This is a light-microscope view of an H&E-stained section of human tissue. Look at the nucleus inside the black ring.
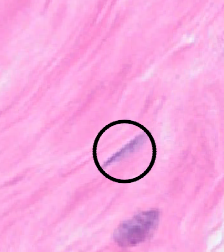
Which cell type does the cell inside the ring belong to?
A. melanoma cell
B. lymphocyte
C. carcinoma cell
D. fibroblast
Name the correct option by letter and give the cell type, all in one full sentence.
Option D gets it right: the cell inside the ring is a fibroblast.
